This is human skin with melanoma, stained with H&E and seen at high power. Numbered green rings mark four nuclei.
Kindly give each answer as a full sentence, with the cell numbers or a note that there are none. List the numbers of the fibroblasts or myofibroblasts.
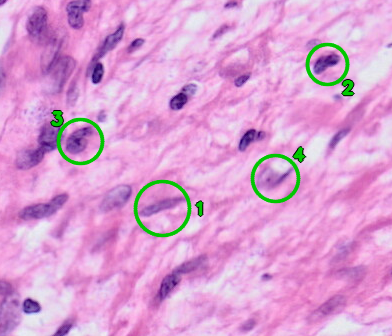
Into the category of fibroblasts or myofibroblasts fall the cells numbered 1 and 4.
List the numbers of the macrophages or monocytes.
Only number 3 is a macrophage or monocyte; none of the others are.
